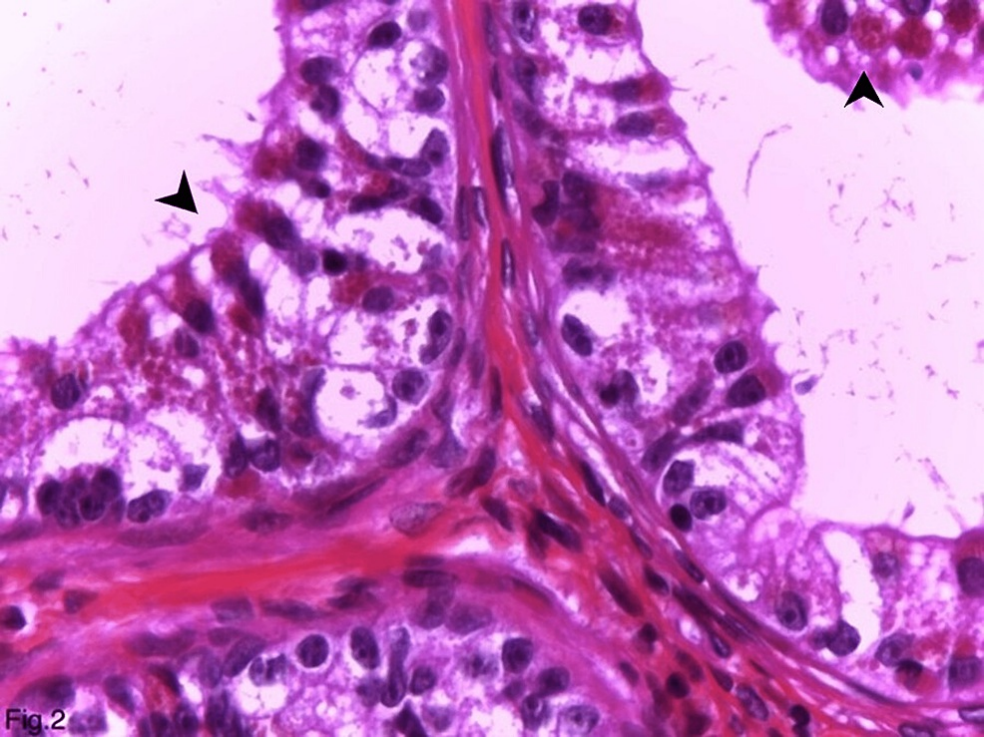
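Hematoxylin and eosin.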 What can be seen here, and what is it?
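Benign epididymal epithelium lines several tubules separated by thin bands of pink fibrous stroma with elongated spindle-shaped nuclei. The lining is made of tall columnar epithelial cells. Their rounded to oval dark nuclei sit mostly toward the base and middle of the cells. Fine fibrillary material extends from the apical surface into the lumina. The lumina are wide and mostly empty, with only a few wisps of pale material.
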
